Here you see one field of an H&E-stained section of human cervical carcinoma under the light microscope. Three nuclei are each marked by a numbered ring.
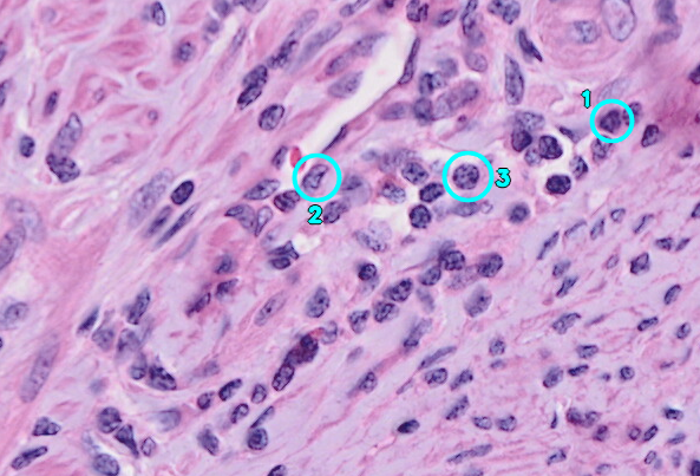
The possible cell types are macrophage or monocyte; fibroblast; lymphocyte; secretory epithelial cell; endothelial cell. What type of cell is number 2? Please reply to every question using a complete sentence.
The cell identified by number 2 is an endothelial cell.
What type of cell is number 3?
The nucleus marked 3 is the nucleus of a lymphocyte.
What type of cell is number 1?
Nucleus 1 in this section belongs to a lymphocyte.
